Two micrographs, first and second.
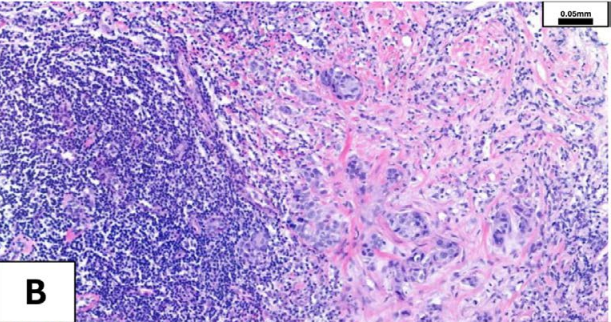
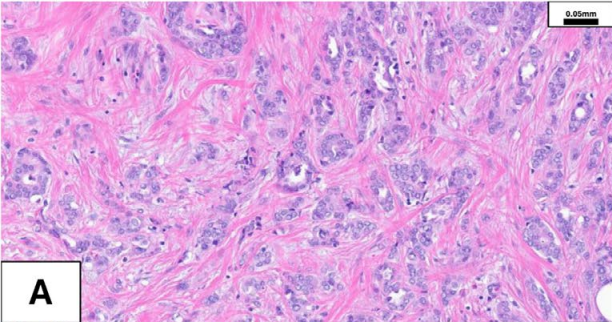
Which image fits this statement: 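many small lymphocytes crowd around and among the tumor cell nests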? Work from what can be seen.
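First image: a dense band of small dark round cells borders the tumor and spreads into its stroma.
The first image.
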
